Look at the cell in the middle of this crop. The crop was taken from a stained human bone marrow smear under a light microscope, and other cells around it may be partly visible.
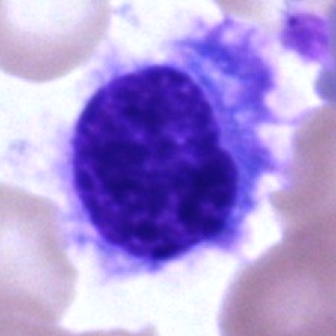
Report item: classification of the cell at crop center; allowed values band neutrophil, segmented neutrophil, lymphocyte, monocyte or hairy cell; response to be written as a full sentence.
Of the cells in this crop, the central one is a hairy cell.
